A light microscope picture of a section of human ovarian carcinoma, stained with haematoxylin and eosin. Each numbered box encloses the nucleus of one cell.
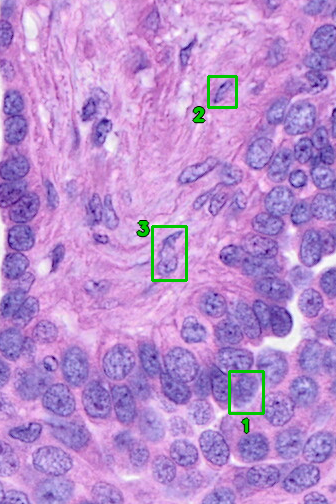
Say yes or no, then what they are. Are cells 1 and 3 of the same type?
No, cell 1 is a carcinoma cell and cell 3 is a fibroblast.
